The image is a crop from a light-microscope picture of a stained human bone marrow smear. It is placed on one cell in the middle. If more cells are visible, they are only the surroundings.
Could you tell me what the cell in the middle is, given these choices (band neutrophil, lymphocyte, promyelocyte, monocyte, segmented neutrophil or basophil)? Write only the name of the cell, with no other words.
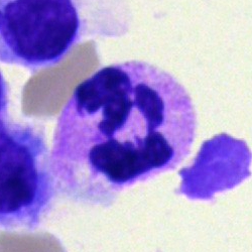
segmented neutrophil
